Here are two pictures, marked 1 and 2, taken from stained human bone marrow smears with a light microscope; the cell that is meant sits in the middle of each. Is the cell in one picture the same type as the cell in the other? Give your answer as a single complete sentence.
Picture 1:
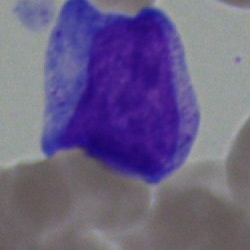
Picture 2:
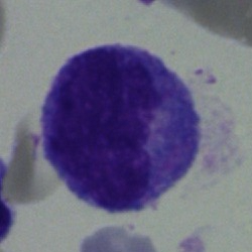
No; the cell in picture 1 is a blast, while the one in picture 2 is a promyelocyte.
